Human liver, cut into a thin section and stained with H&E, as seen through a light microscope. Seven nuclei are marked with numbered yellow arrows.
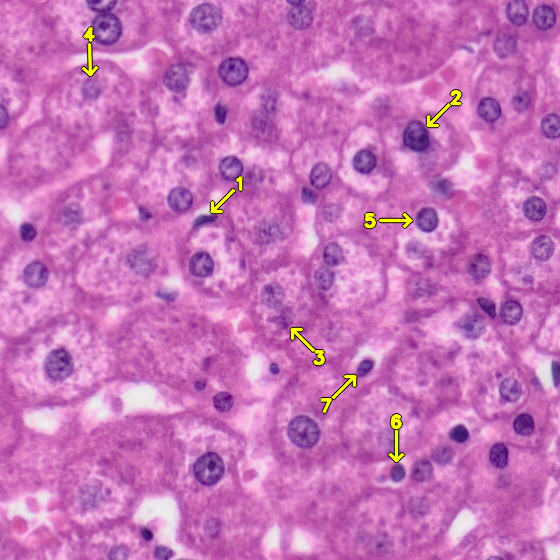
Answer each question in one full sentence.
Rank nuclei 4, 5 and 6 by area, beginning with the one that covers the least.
Smallest first, the nuclei run 6, 4, 5.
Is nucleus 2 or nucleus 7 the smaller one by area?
It is nucleus 7; nucleus 2 has about 2.5 times its area.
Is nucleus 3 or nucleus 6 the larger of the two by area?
Nucleus 3 is the larger one, covering about 1.5 times the area of nucleus 6.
